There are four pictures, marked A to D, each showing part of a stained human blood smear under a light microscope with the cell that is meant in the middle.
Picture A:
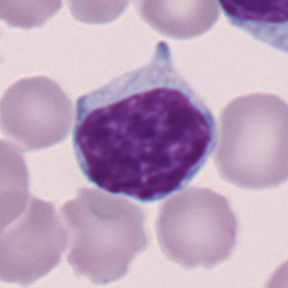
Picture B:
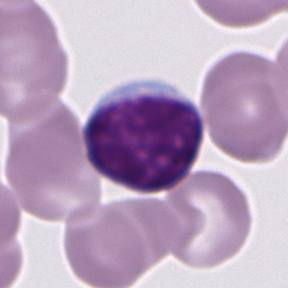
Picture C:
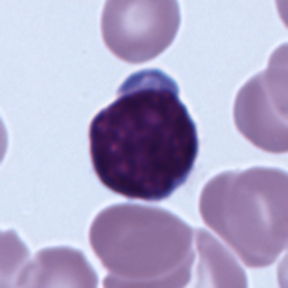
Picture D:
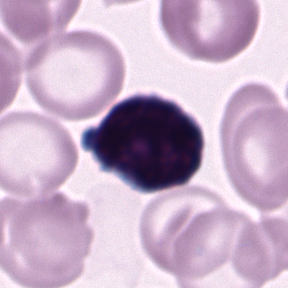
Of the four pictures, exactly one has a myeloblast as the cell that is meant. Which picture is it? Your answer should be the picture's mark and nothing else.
C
